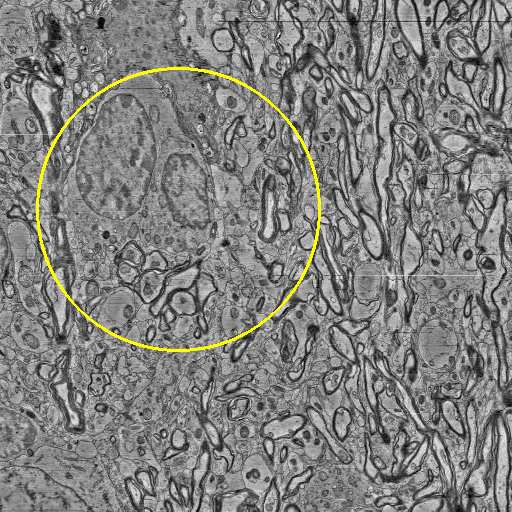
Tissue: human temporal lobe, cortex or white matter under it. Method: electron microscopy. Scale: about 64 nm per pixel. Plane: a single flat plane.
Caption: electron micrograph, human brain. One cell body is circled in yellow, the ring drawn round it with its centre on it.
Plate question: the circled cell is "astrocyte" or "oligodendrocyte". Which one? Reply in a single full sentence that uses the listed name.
The yellow ring on the plate is centred on an oligodendrocyte, going by the listed names.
